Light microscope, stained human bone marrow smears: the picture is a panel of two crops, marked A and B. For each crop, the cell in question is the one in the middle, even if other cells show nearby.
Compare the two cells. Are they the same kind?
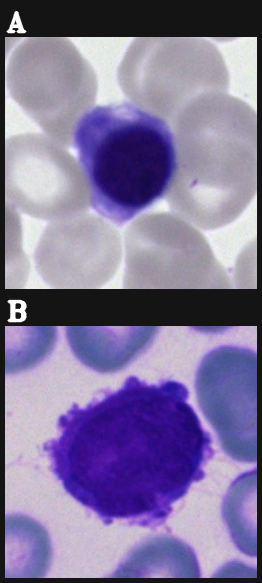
no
